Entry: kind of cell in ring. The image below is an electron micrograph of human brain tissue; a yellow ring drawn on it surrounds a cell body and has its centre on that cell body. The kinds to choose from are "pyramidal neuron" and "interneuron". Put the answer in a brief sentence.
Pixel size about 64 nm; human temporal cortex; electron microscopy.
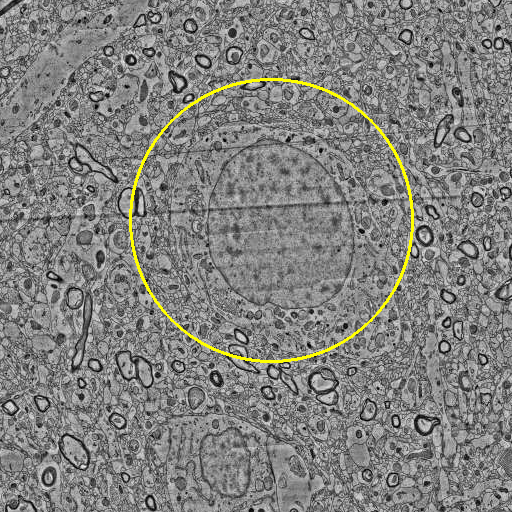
The ring has been drawn around an interneuron.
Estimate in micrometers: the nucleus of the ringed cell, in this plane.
In this plane, about 11 micrometres in length and 9 in width.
